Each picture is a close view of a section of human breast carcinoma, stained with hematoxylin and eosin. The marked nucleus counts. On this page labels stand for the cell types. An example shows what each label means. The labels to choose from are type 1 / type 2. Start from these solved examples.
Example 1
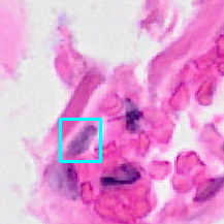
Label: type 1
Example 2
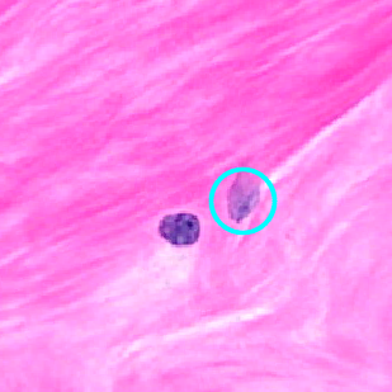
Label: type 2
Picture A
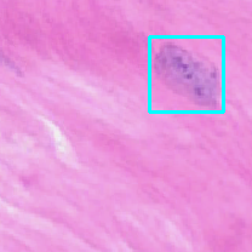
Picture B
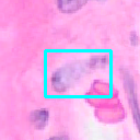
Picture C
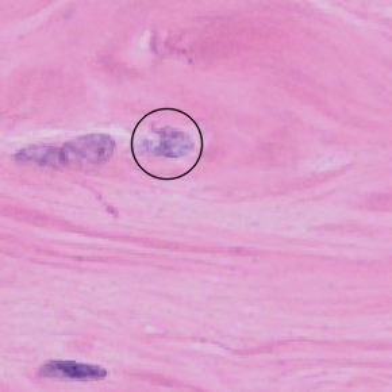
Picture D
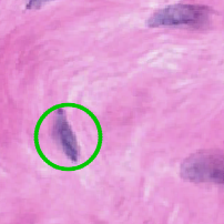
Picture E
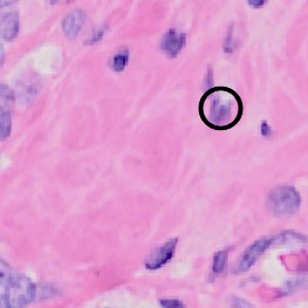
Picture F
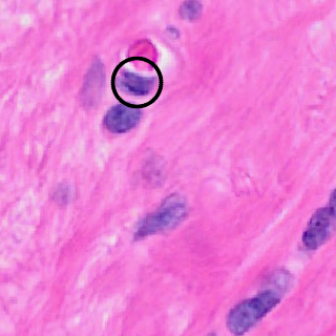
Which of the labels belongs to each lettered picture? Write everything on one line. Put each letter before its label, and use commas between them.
A type 2, B type 1, C type 2, D type 2, E type 1, F type 1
